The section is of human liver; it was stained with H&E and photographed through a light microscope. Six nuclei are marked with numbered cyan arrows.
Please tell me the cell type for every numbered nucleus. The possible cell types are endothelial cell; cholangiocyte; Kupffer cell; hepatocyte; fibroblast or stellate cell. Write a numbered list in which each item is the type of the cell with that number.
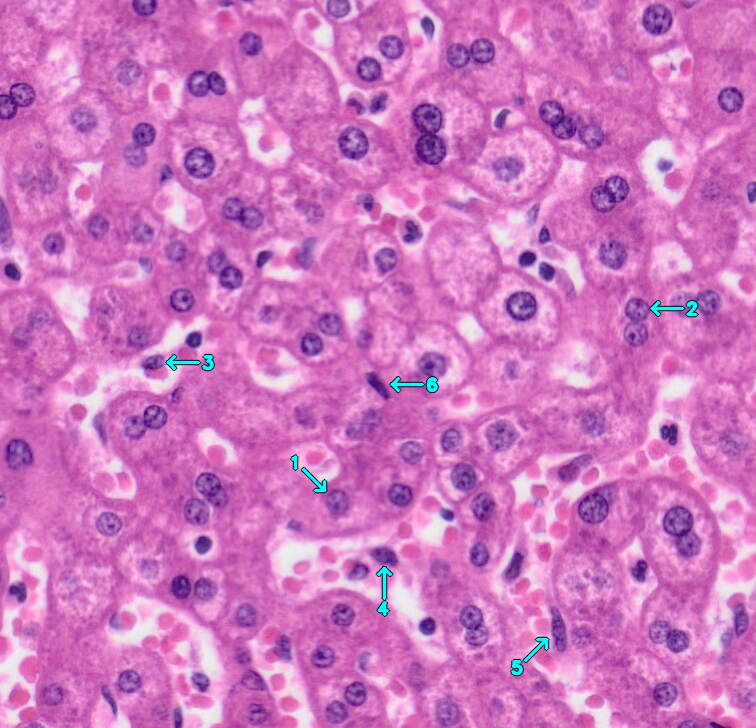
1. hepatocyte
2. hepatocyte
3. Kupffer cell
4. Kupffer cell
5. Kupffer cell
6. fibroblast or stellate cell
